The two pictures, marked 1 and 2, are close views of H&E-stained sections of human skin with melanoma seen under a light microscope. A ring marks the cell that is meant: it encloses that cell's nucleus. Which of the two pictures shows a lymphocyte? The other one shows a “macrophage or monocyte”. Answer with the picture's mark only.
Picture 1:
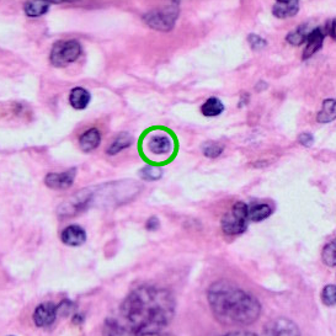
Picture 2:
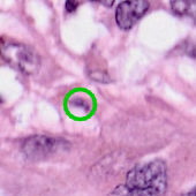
1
